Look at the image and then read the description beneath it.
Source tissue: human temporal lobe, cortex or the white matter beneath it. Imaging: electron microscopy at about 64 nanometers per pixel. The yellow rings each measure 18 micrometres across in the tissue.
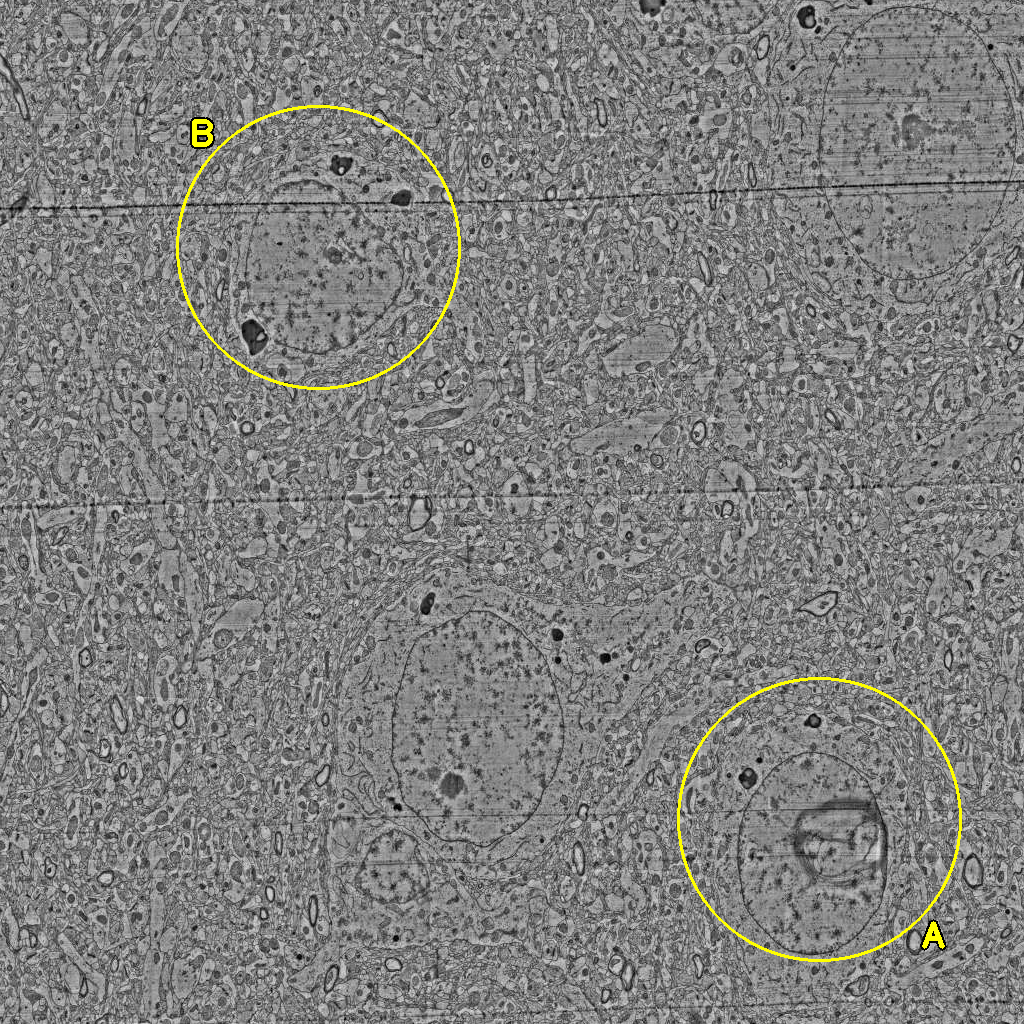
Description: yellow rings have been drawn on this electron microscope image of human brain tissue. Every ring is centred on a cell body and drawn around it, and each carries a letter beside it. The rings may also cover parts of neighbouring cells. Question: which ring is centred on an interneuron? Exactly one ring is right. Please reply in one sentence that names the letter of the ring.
It is ring B.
